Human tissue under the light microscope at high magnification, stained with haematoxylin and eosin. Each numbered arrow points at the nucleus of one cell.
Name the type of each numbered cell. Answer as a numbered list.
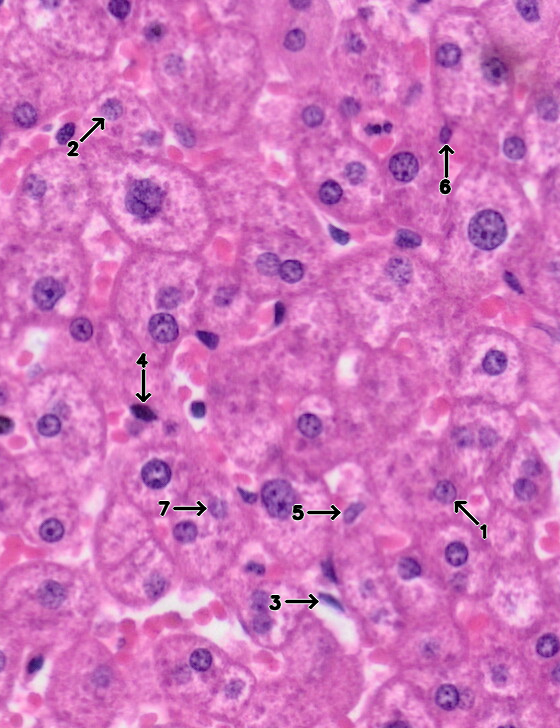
1. hepatocyte
2. hepatocyte
3. endothelial cell
4. fibroblast or stellate cell
5. Kupffer cell
6. fibroblast or stellate cell
7. hepatocyte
